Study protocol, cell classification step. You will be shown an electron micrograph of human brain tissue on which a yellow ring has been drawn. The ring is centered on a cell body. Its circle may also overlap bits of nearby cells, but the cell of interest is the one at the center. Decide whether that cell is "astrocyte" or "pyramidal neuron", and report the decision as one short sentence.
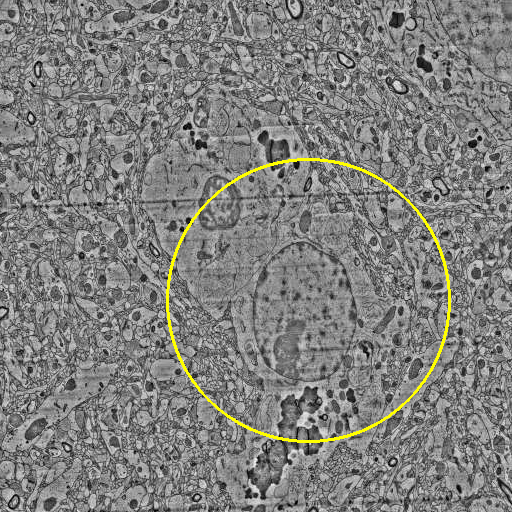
The marked cell is an astrocyte.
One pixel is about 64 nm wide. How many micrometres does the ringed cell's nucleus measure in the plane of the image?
The nucleus is approximately 9 micrometers long by 7 micrometers wide in this plane.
